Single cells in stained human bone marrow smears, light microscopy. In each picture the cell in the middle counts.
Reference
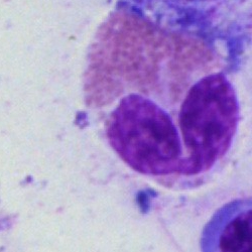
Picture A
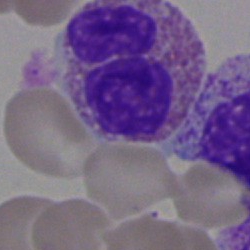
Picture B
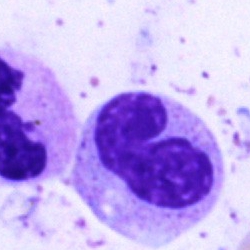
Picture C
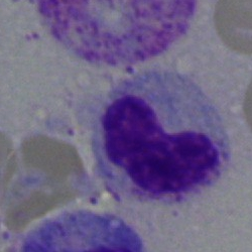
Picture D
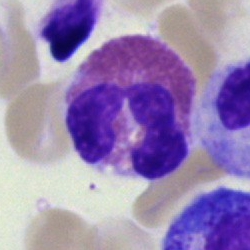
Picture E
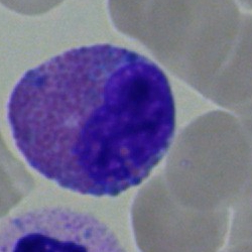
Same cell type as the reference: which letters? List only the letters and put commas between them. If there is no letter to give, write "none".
A, D, E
